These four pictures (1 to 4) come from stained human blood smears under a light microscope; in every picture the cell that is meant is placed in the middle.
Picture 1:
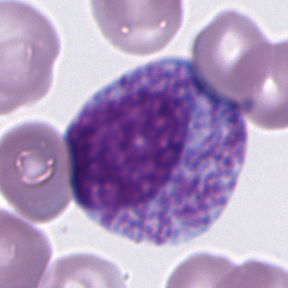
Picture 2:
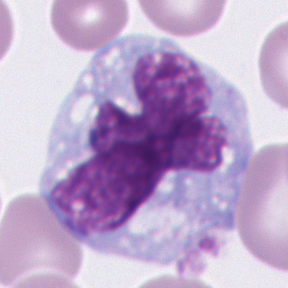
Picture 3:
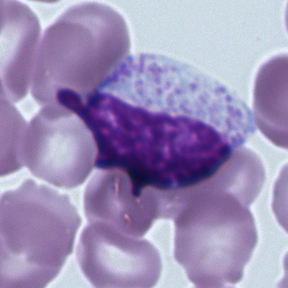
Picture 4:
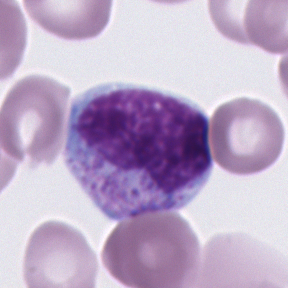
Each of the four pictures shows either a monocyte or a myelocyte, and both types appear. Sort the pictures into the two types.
1: myelocyte
2: monocyte
3: myelocyte
4: myelocyte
